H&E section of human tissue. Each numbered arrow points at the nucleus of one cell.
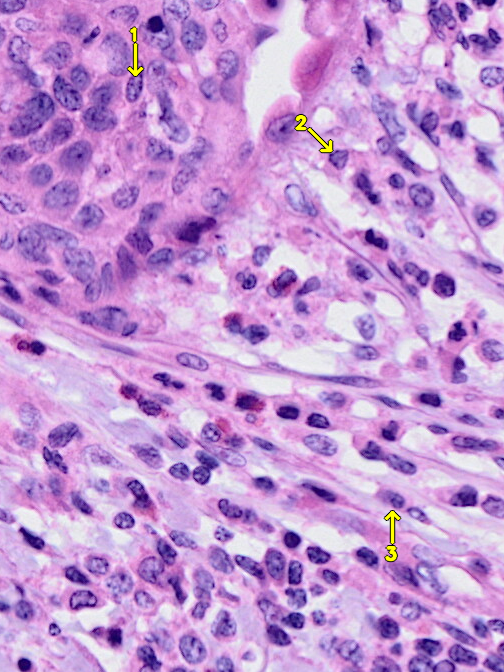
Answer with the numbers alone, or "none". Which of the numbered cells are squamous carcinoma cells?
1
